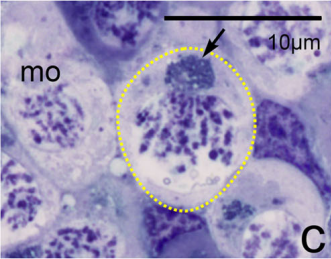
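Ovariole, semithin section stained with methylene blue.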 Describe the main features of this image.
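This high magnification shows a meiotic oocyte in the bouquet stage among other germ cells of the germarium. Its large pale nucleus contains condensed, dark-blue chromosome threads that converge towards one pole. Pressed against that pole lies a compact, dark, finely granular cap in the cytoplasm. A neighbouring meiotic oocyte at the left shows many dark chromatin clumps, and small cells with dense dark nuclei are wedged between the larger cells.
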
